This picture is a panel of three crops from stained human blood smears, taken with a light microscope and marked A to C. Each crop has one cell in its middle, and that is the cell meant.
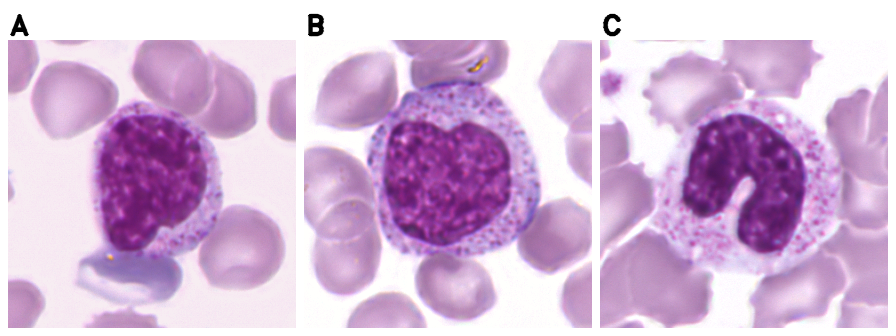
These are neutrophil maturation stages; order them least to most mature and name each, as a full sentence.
By increasing maturity, the order is crop B (a myelocyte), crop A (a metamyelocyte) and crop C (a band neutrophil).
